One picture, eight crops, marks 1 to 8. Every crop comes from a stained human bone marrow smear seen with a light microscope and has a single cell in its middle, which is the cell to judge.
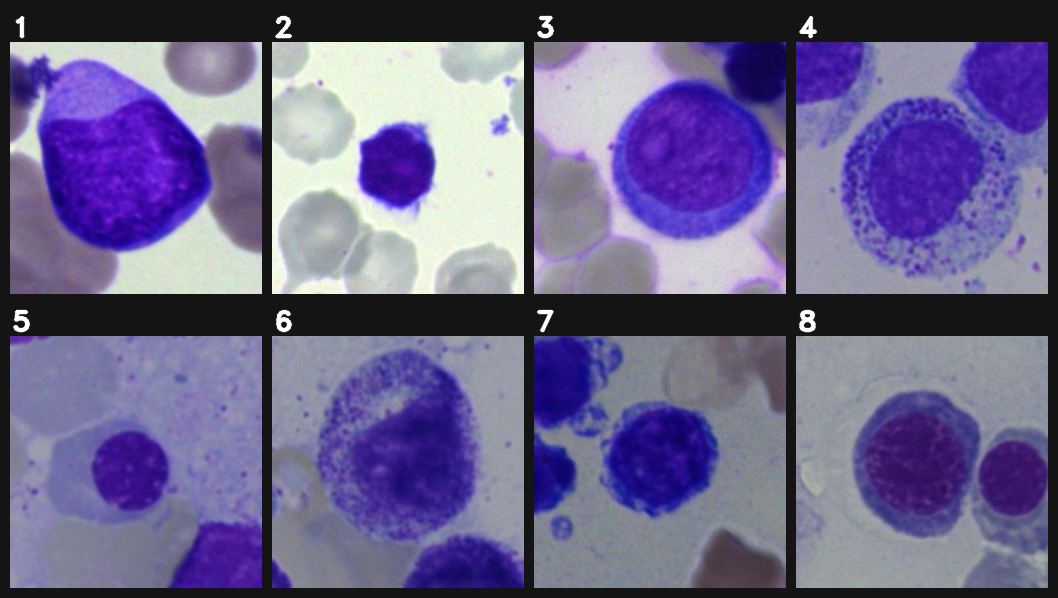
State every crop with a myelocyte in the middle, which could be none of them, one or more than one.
4, 6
